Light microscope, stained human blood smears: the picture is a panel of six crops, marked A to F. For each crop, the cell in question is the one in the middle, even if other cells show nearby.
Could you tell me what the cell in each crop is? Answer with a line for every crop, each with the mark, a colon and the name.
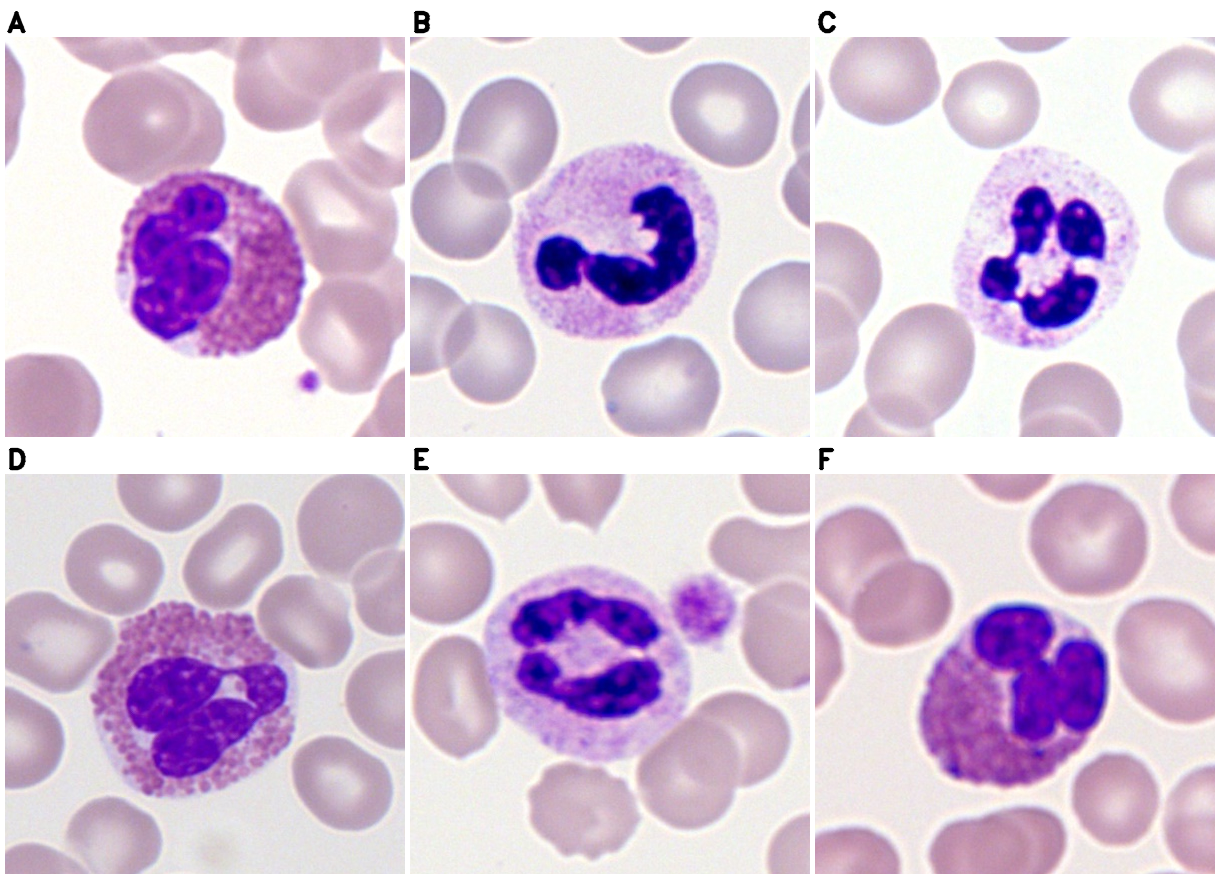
A: eosinophil
B: segmented neutrophil
C: segmented neutrophil
D: eosinophil
E: segmented neutrophil
F: eosinophil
